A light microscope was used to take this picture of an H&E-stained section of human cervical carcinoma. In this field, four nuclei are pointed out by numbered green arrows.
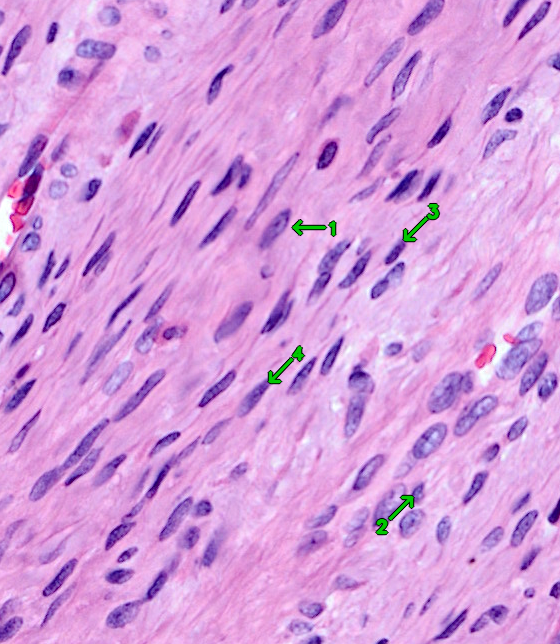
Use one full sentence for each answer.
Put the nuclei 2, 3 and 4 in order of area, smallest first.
By area, going up from the smallest, they rank 2, 3, 4.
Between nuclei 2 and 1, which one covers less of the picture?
Nucleus 2 covers less area, with nucleus 1 about 3 times as large.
